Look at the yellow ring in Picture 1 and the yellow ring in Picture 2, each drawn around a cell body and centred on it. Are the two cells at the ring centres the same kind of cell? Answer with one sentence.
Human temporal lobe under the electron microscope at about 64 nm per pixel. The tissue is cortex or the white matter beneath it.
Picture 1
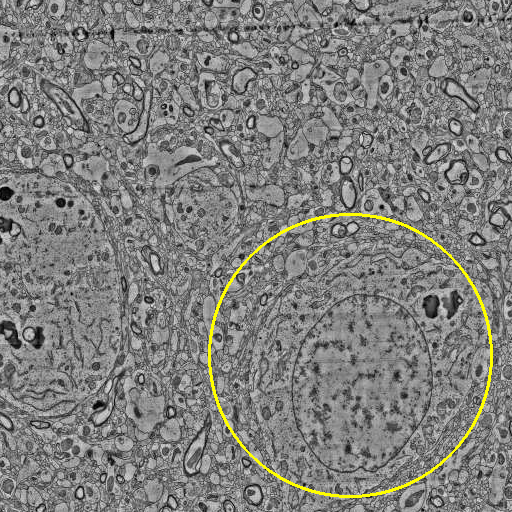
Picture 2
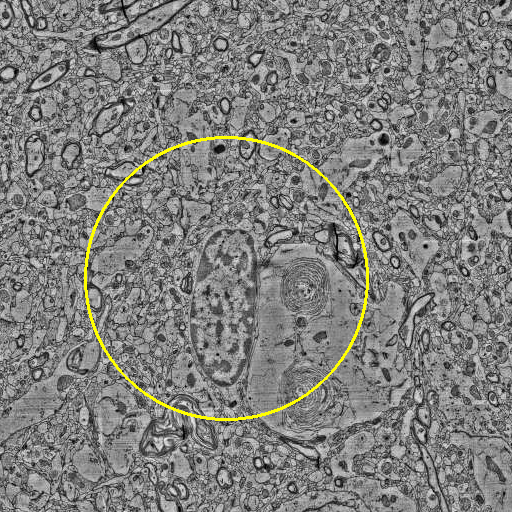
No, they are cells of two kinds.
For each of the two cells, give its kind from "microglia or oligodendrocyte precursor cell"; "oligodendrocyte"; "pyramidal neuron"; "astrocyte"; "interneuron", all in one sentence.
The first picture has a pyramidal neuron in its ring, the second has a microglial cell or oligodendrocyte precursor cell.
